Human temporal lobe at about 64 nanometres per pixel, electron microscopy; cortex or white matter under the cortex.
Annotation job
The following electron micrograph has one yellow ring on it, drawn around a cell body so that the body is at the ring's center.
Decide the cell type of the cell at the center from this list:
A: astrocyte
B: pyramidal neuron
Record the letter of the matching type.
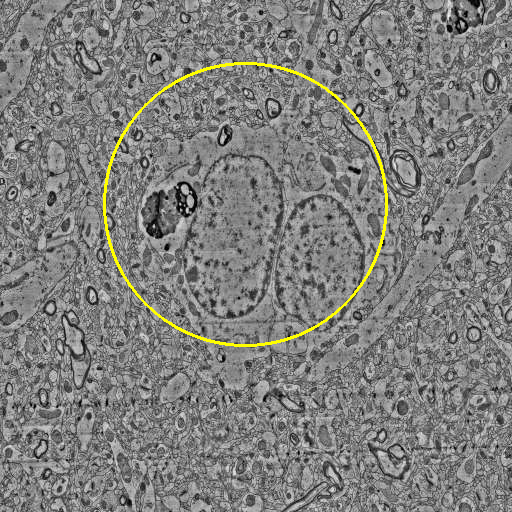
A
